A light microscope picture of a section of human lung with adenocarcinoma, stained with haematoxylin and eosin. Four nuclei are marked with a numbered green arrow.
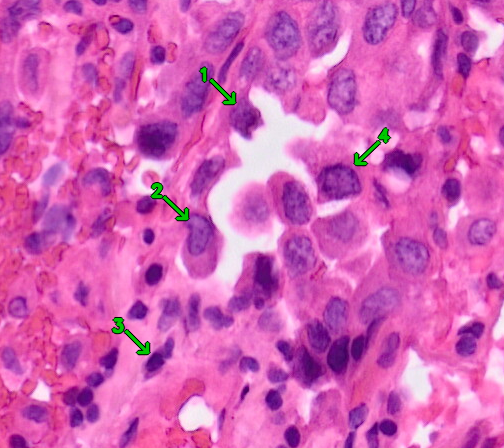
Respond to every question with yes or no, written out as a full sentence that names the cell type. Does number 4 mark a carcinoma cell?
Yes, cell number 4 is identified here as a carcinoma cell.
